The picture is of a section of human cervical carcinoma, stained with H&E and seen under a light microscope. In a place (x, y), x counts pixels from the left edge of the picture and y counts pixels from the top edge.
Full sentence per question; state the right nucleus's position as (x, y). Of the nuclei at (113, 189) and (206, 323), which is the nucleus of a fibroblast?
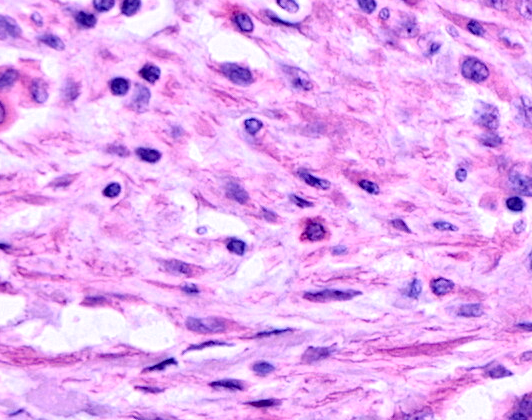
Of the two nuclei present, the one at (206, 323) is within a fibroblast.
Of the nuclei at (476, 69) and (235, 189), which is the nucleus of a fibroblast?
Between the pair, the nucleus at (235, 189) belongs to a fibroblast.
